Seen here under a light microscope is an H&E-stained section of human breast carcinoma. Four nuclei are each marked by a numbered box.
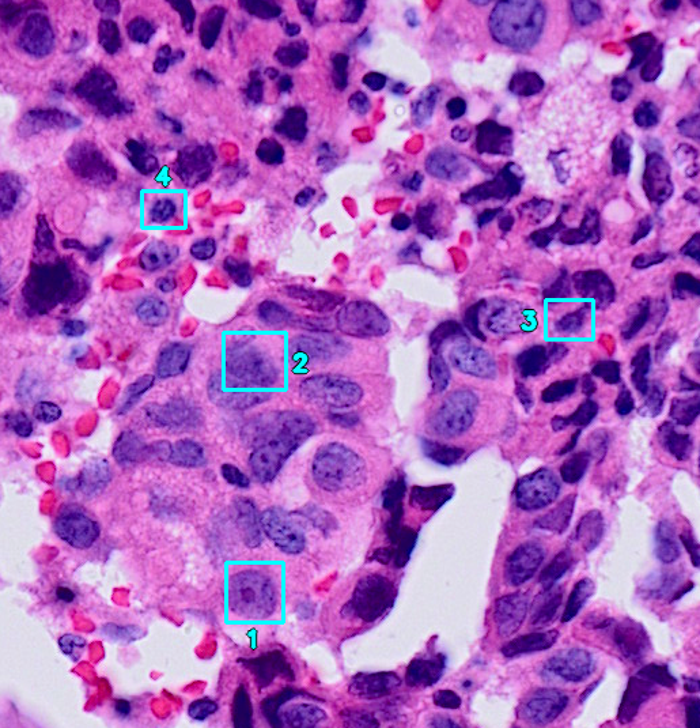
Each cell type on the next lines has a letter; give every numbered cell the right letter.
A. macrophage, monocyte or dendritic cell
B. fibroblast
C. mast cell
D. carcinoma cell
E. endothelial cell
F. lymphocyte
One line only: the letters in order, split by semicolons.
D; D; D; F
